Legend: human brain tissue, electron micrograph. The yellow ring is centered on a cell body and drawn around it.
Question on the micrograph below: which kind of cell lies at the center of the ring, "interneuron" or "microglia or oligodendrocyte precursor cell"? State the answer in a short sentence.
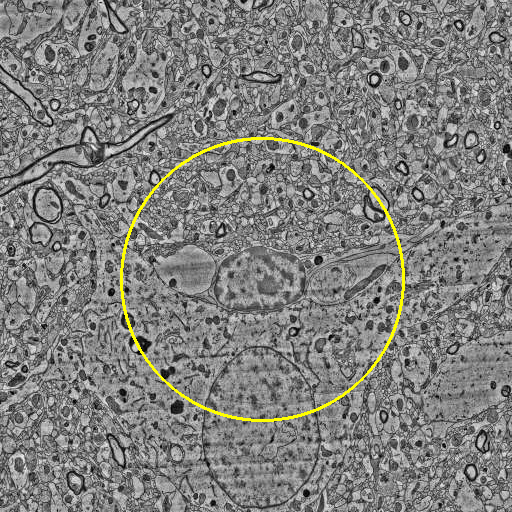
At the center of the ring lies a microglial cell or oligodendrocyte precursor cell.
